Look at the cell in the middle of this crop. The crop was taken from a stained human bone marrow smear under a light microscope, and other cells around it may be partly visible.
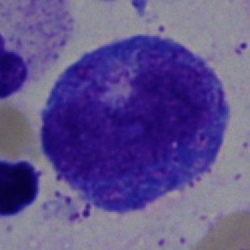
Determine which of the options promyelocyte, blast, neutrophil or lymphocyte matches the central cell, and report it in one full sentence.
Classification of the middle cell gives a promyelocyte.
